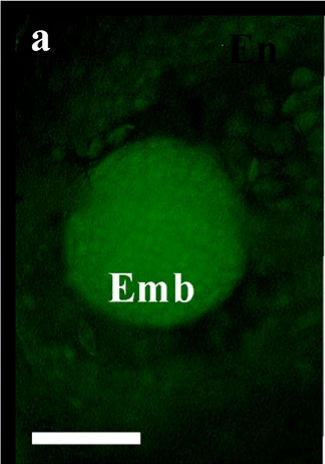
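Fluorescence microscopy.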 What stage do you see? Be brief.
Globular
